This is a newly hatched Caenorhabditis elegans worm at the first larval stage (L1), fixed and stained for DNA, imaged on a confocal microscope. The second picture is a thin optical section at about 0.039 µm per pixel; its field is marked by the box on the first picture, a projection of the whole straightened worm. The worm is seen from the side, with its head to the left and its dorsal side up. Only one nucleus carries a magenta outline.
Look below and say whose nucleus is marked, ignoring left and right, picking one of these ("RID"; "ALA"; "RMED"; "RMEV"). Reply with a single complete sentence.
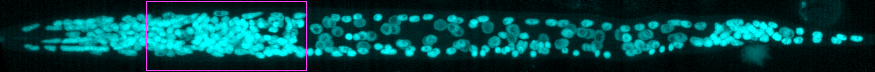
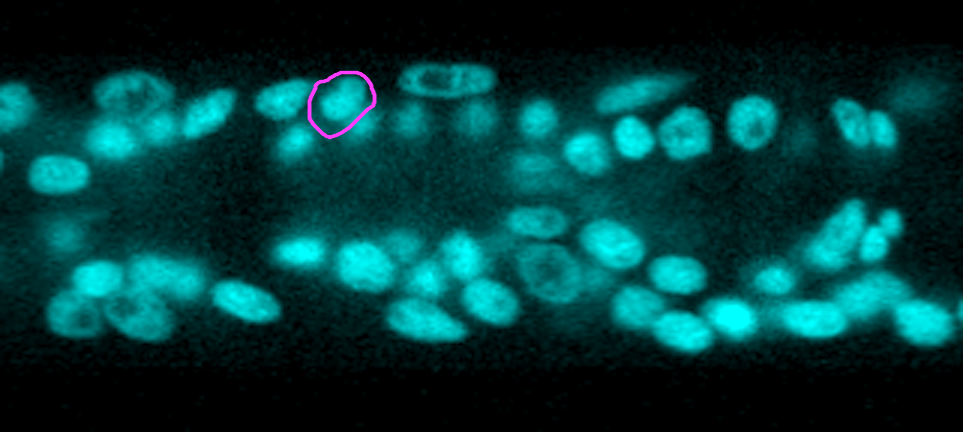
The nucleus is from ALA, a neuron.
